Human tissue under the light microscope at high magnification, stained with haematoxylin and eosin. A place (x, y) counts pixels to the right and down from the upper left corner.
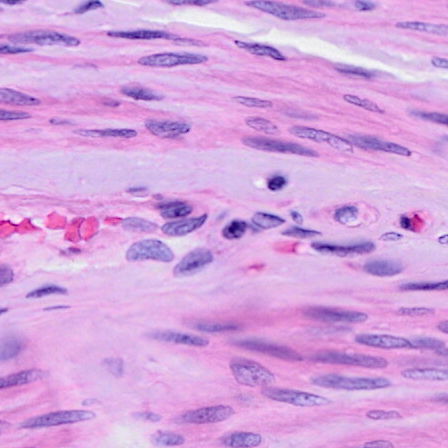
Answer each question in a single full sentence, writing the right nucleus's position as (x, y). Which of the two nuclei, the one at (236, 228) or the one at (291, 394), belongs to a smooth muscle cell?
Of these two nuclei, only the one at (291, 394) belongs to a smooth muscle cell.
